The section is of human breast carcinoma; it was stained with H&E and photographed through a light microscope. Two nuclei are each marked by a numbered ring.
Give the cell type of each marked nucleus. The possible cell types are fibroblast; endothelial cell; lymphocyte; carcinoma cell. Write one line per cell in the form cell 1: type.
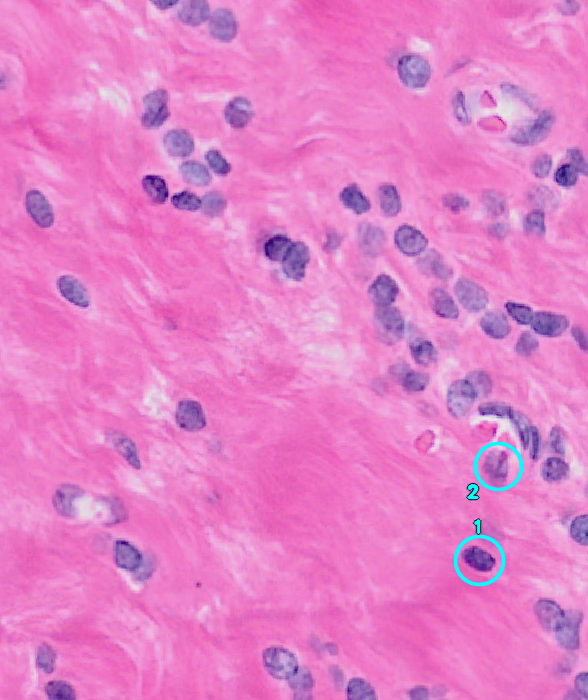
cell 1: lymphocyte
cell 2: endothelial cell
